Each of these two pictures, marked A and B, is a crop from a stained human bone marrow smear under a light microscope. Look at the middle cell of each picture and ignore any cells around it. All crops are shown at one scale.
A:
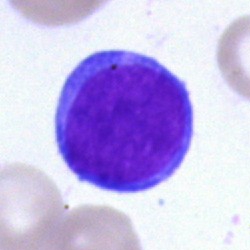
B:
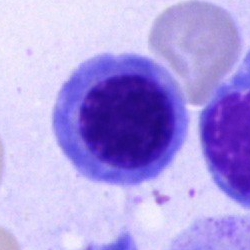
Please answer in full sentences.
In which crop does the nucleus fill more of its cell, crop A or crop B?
In crop A the nucleus takes up the larger part of its cell.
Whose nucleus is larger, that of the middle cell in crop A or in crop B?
It is the nucleus in crop A, about 2 times as large in area as the one in crop B.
